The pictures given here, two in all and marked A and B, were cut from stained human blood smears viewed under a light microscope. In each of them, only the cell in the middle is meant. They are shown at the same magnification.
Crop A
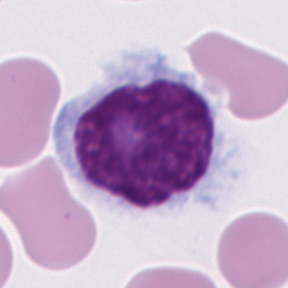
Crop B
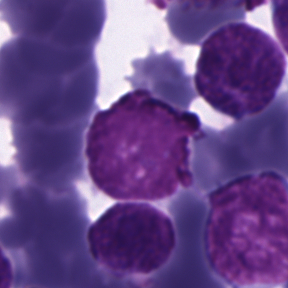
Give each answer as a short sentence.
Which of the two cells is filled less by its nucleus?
It is the cell in crop A that is filled less by its nucleus.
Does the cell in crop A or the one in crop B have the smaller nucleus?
It is the nucleus in crop B; the one in crop A has about 1.5 times its area.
